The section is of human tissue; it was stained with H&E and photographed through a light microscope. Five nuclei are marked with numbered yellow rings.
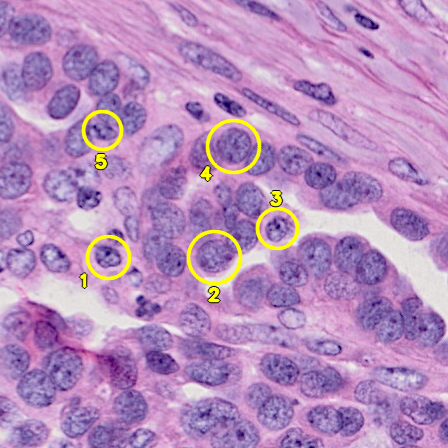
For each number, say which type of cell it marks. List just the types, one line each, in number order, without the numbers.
macrophage or monocyte
carcinoma cell
macrophage or monocyte
carcinoma cell
macrophage or monocyte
